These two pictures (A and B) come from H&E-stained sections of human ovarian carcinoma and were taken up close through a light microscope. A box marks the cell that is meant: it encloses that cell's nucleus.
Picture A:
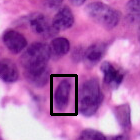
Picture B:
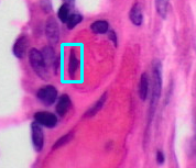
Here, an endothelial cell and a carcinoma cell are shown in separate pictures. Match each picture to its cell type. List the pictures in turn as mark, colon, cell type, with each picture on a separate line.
A: carcinoma cell
B: endothelial cell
